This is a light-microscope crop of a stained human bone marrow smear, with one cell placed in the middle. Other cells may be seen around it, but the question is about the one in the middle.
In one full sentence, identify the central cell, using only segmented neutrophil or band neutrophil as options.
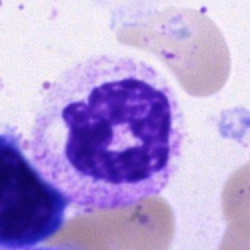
As for the central cell, it is a segmented neutrophil.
